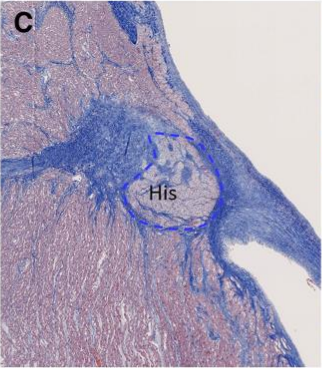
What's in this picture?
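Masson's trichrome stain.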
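At the crest of the septum a rounded bundle of pale, loosely textured tissue is outlined, set apart from the red-stained working muscle around it. A dense blue-stained fibrous collar surrounds this bundle and sends blue strands out into the neighbouring muscle. The endocardium covers the surface on the right.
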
